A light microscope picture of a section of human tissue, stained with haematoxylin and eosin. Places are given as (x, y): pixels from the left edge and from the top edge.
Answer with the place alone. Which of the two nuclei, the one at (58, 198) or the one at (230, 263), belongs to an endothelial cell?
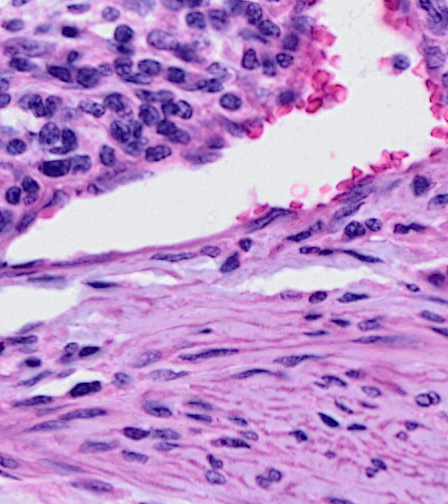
(58, 198)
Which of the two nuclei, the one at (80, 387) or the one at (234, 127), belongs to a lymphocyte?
(80, 387)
